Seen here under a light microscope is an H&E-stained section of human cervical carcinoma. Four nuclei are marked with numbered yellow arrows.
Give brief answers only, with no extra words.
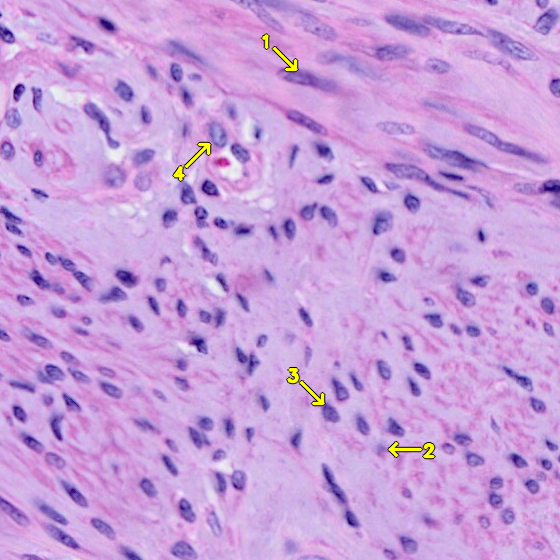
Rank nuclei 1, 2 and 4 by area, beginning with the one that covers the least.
2, 4, 1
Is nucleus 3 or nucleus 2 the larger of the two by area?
3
